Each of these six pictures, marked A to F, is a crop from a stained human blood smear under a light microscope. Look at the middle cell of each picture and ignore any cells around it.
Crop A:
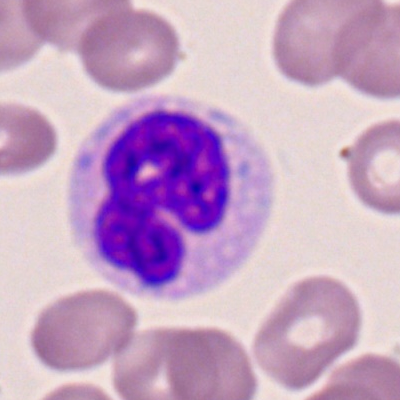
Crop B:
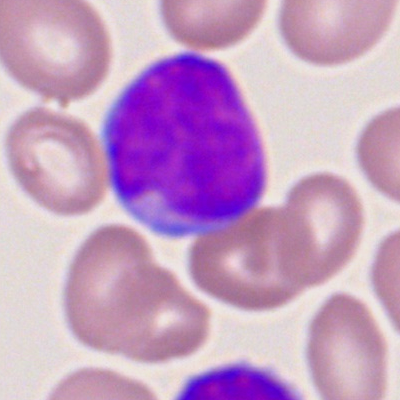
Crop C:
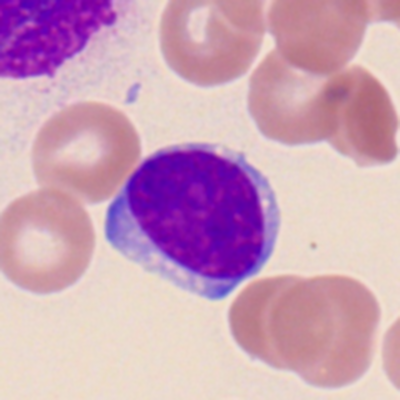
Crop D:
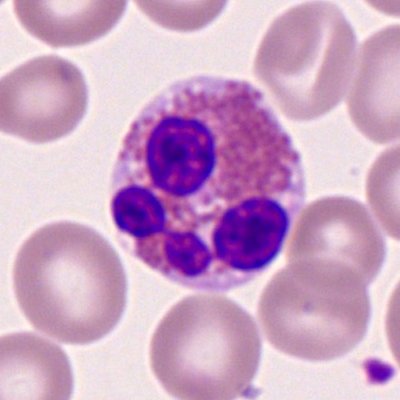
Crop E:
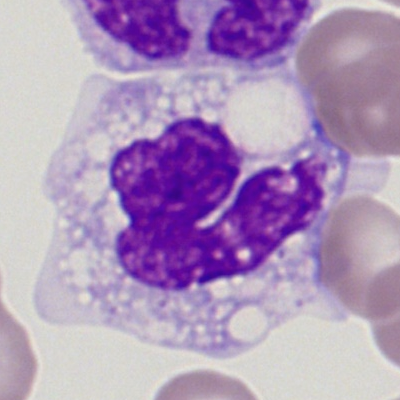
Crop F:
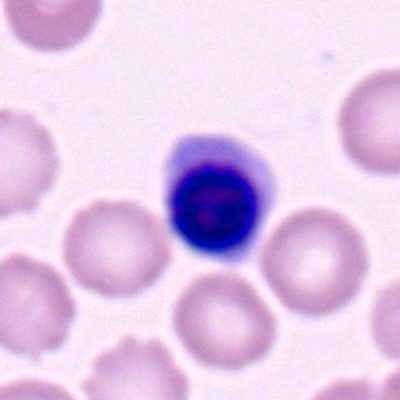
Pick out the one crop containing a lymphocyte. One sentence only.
Look at crop C; that is the one with a lymphocyte in its center.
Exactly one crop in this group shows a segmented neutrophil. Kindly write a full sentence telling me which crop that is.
The crop with a segmented neutrophil at its center is crop A.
